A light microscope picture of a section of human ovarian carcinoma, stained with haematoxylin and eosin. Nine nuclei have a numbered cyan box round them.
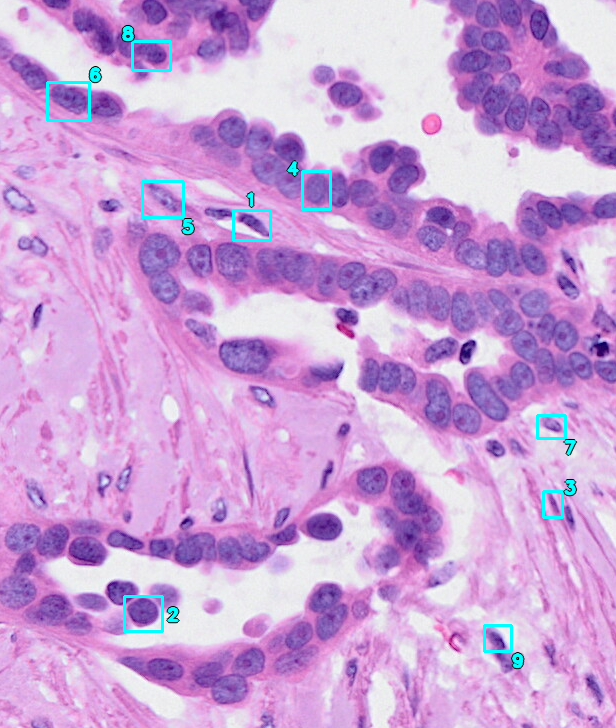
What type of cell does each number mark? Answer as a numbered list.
1. fibroblast
2. carcinoma cell
3. fibroblast
4. carcinoma cell
5. fibroblast
6. carcinoma cell
7. fibroblast
8. carcinoma cell
9. fibroblast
